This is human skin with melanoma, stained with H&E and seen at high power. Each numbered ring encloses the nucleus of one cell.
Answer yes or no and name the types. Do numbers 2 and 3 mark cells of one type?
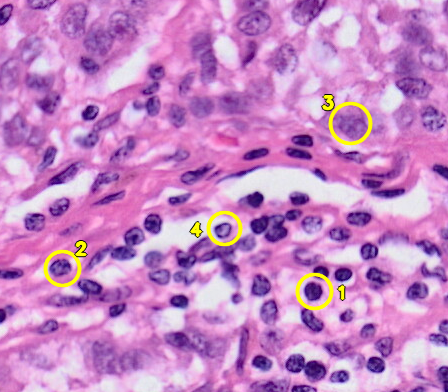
No, that does not hold; cell 2 is a lymphocyte and cell 3 is a melanoma cell.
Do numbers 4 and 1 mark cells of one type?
Yes, the two cells, 4 and 1, are both lymphocytes.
